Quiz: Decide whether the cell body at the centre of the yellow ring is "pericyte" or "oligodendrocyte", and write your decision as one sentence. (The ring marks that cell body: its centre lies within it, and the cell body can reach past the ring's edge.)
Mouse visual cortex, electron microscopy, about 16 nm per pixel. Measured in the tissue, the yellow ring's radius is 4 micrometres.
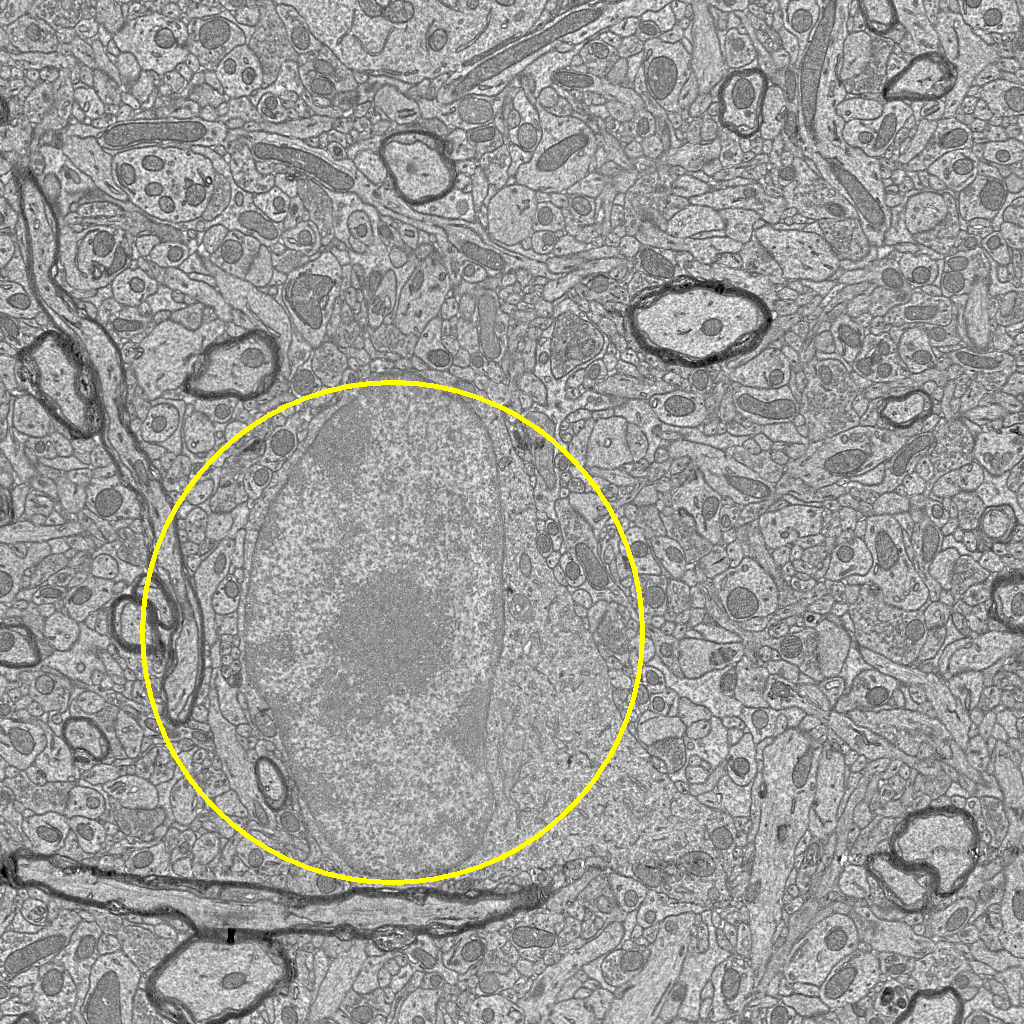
The cell holding the ring's centre is an oligodendrocyte.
